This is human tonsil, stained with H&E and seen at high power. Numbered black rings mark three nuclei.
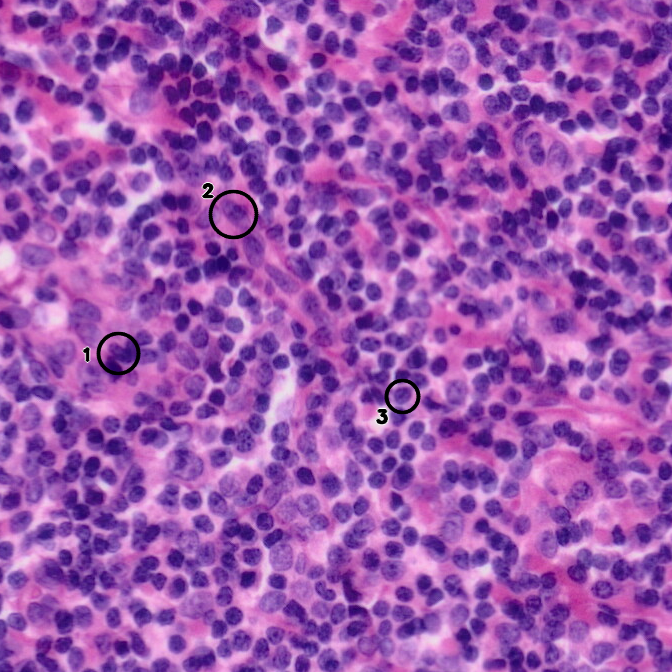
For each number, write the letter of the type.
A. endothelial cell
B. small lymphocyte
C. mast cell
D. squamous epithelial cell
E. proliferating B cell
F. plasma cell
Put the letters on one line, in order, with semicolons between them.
A; A; B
